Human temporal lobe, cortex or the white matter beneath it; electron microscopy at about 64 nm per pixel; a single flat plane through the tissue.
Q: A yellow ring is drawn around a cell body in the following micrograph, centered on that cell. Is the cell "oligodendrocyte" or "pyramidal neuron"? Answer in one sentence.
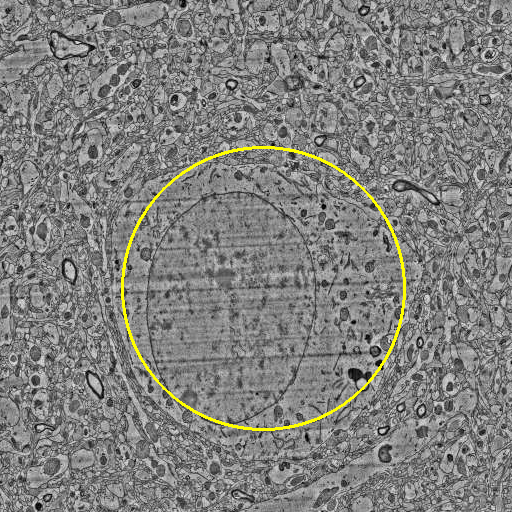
The cell in the center of the ring is a pyramidal neuron.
